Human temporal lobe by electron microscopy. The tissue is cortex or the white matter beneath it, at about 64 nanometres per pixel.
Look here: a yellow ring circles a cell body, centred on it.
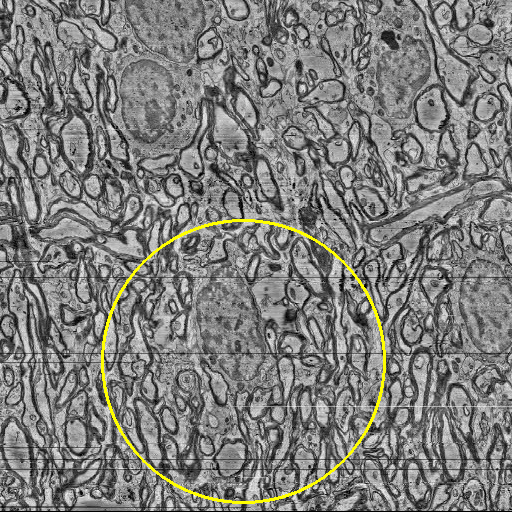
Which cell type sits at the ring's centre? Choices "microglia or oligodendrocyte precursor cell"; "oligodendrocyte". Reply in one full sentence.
The cell at the centre of the yellow ring in the picture is an oligodendrocyte.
